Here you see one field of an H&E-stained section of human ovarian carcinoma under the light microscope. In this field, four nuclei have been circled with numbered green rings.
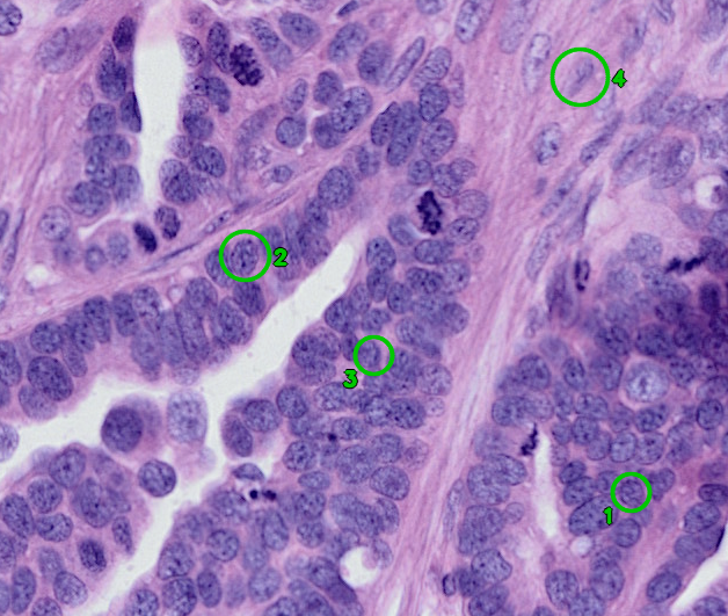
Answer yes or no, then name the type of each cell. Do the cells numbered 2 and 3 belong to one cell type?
Yes, both are carcinoma cells.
